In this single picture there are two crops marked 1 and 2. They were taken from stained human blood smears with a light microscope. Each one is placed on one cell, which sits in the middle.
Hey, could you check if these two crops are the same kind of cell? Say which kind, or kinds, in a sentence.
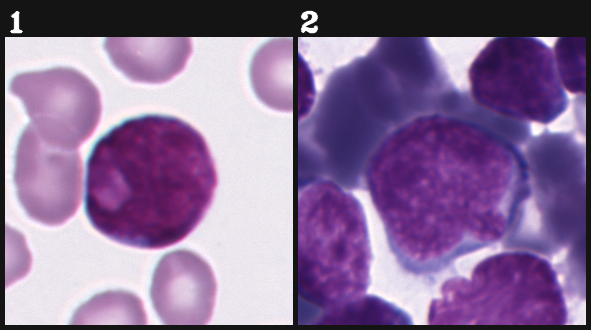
Yes, in both crops, blasts are the cells at the middle.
